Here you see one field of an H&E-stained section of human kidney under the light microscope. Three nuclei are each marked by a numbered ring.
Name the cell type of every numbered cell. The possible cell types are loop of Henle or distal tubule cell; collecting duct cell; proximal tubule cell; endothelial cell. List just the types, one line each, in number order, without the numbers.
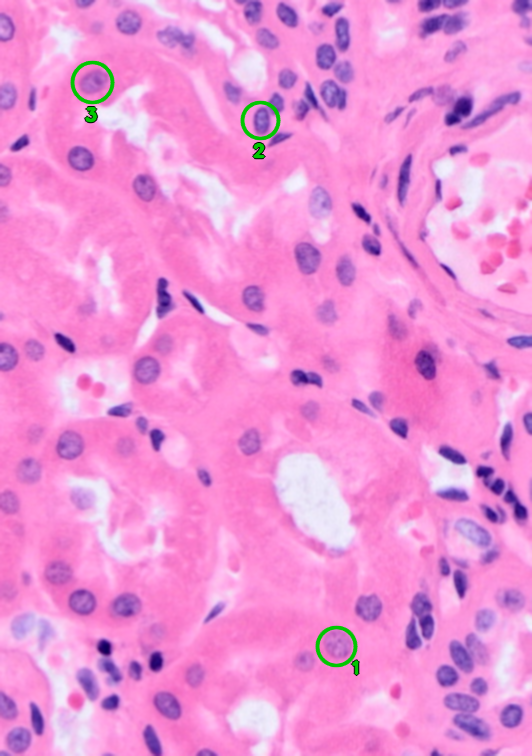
proximal tubule cell
collecting duct cell
proximal tubule cell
